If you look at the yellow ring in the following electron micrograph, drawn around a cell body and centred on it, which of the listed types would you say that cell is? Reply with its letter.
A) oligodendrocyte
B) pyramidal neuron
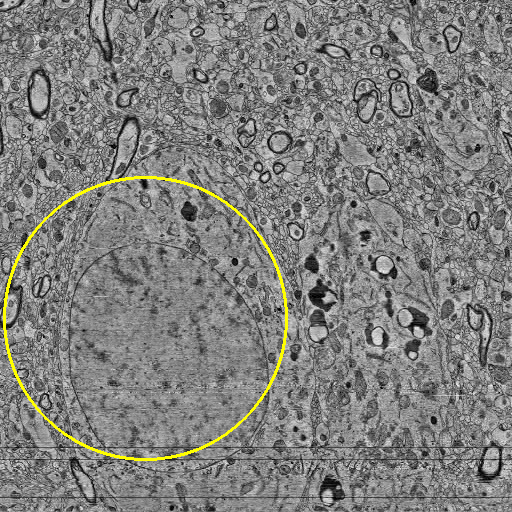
B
